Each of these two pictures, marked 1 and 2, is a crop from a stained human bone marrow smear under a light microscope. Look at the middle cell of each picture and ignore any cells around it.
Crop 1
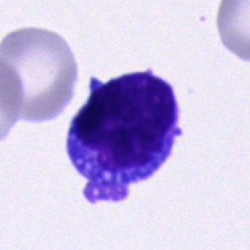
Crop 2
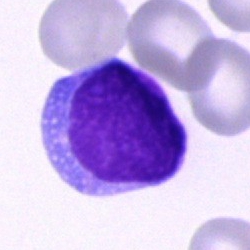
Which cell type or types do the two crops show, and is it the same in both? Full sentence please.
Yes, put down blasts for both crops.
